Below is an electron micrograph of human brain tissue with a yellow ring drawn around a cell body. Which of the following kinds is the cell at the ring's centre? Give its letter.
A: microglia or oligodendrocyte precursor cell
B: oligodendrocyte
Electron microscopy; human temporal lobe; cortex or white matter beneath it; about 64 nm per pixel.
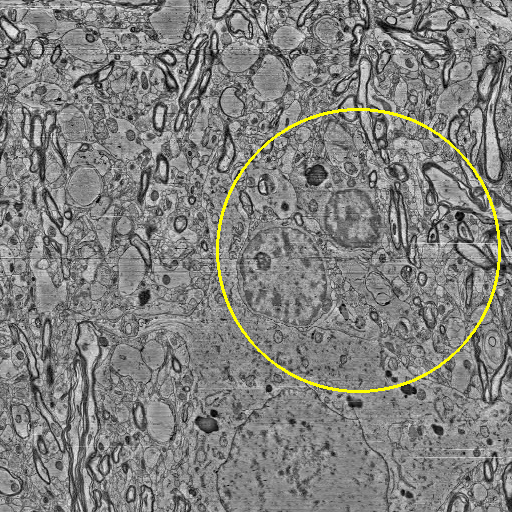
B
